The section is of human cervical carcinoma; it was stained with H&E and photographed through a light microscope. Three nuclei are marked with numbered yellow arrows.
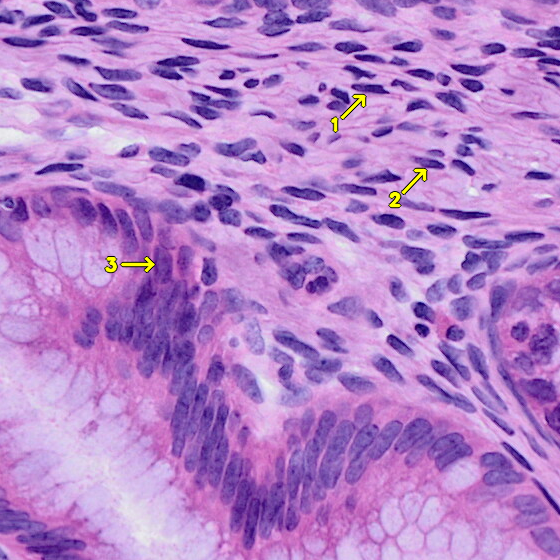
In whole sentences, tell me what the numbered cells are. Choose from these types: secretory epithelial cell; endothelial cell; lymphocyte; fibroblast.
Cells 1 and 2 are fibroblasts. Cell 3 is a secretory epithelial cell.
